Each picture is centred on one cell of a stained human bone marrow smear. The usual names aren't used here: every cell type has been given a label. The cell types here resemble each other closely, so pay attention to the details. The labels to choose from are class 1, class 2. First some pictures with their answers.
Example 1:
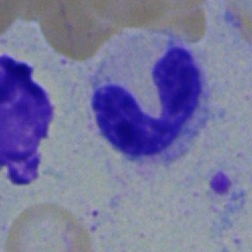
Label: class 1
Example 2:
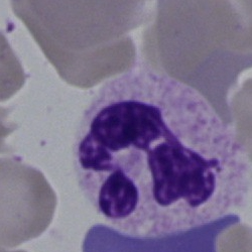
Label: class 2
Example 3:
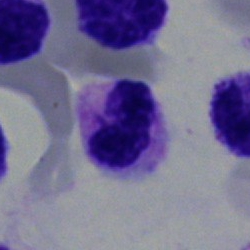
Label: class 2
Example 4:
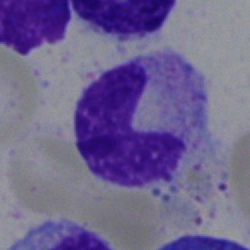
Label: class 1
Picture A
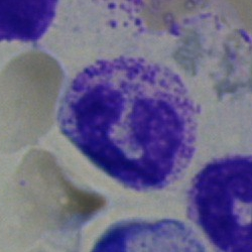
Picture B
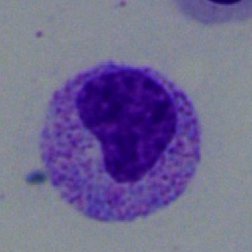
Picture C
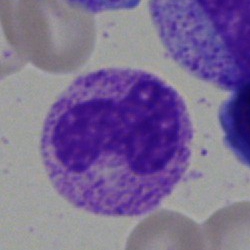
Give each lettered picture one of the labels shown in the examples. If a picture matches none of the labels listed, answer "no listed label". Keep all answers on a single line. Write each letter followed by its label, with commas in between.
A class 1, B no listed label, C class 1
